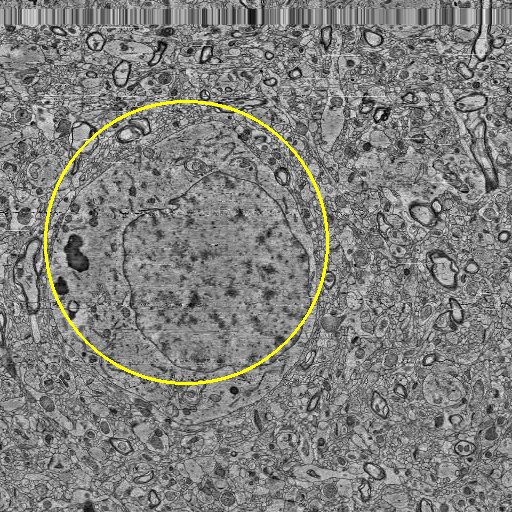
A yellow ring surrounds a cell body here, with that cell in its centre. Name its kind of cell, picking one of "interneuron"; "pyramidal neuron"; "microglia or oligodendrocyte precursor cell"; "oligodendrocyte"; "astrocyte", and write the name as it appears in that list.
pyramidal neuron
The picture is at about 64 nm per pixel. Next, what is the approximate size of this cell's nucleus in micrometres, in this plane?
About 13 micrometers across, in this plane.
